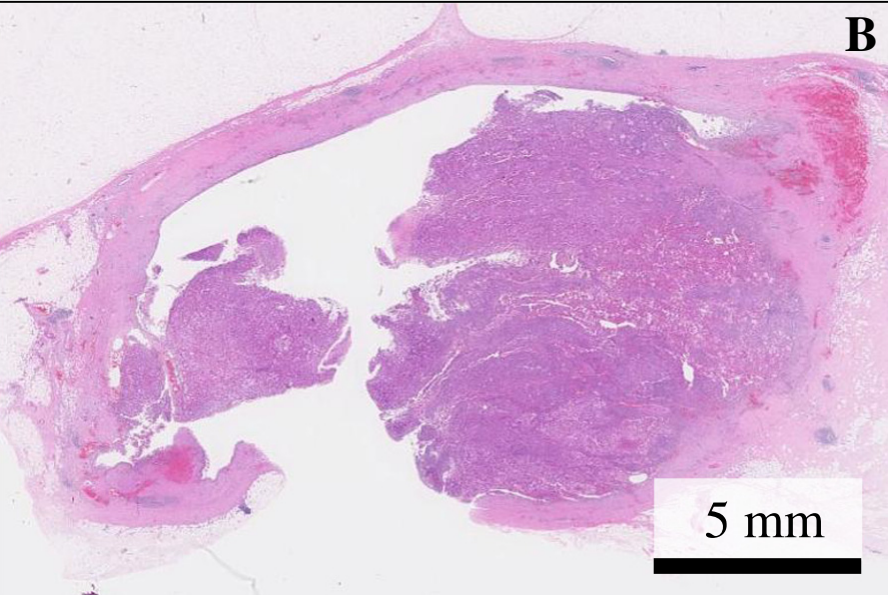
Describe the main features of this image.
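At this very low power, a large cystic space is lined by a thin band of pale pink fibrous tissue. Within the space lie dense purple, solid masses of crowded tumour tissue. On the left the tumour fragments sit loosely inside the cavity, separated from the wall by clear space. On the right the main mass presses against and merges irregularly into the thickened wall. Here a patch of bright red blood marks haemorrhage at the upper right edge. The surrounding stroma beyond the wall is pale and loose. Individual cells cannot be told apart at this magnification, only the overall architecture.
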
